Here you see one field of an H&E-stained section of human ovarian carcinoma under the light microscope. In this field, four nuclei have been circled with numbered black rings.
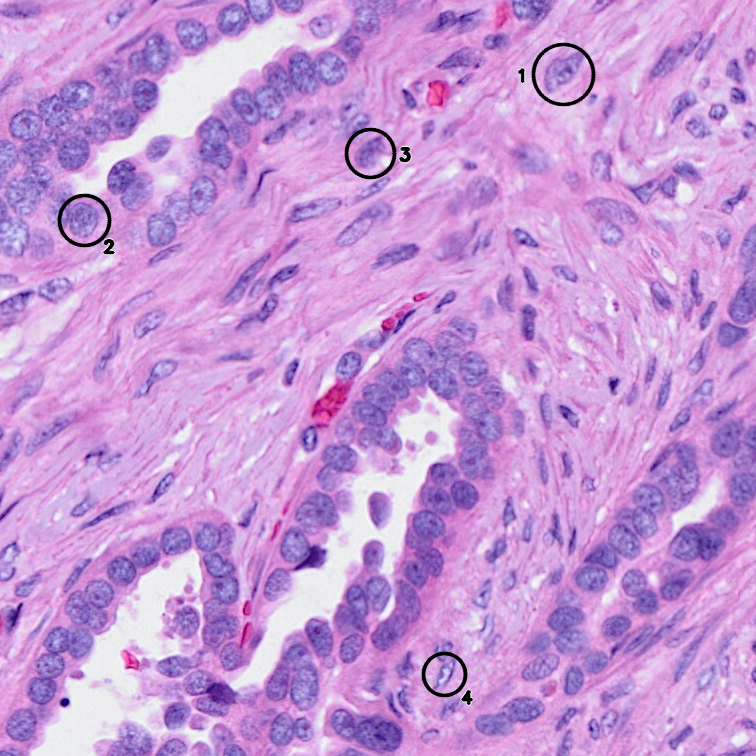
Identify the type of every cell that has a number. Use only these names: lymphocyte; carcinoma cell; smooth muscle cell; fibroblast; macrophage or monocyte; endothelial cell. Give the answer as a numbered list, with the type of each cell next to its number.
1. fibroblast
2. carcinoma cell
3. fibroblast
4. fibroblast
